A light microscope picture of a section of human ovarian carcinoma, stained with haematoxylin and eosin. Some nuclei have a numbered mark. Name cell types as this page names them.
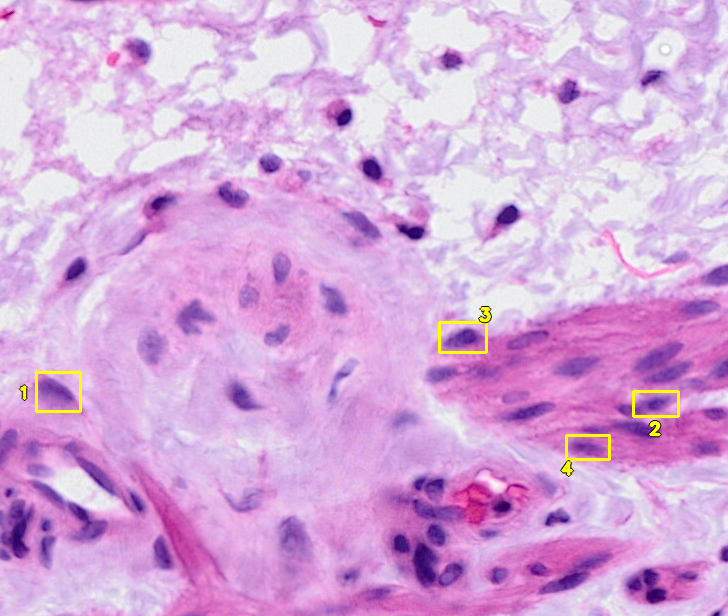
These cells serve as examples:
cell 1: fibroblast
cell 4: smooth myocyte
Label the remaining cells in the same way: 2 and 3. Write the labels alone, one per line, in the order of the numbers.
smooth myocyte
smooth myocyte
